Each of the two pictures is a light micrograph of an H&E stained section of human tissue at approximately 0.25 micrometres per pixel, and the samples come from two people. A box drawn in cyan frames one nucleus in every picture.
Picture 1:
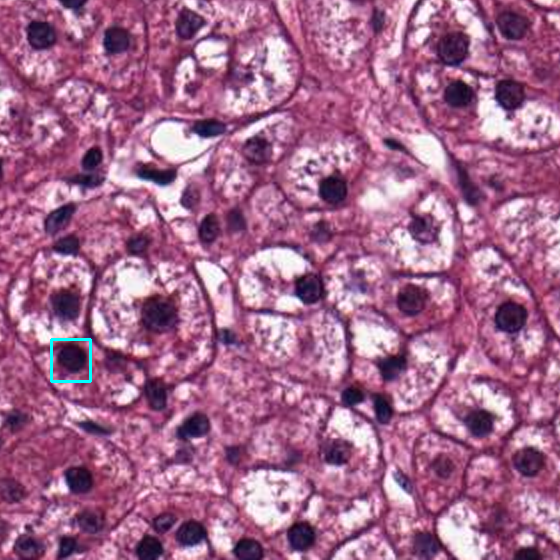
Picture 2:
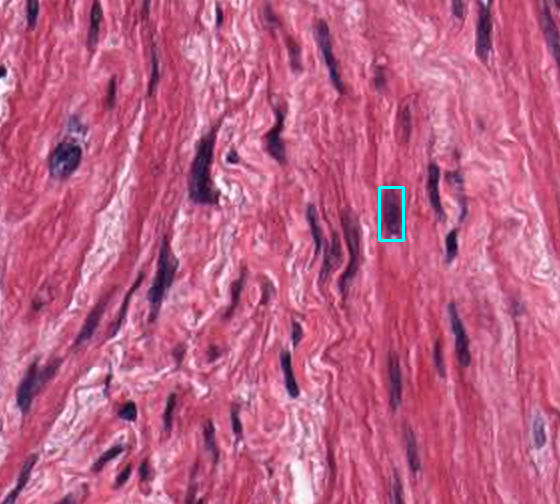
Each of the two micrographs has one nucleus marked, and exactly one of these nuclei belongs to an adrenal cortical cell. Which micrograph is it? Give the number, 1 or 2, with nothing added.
1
